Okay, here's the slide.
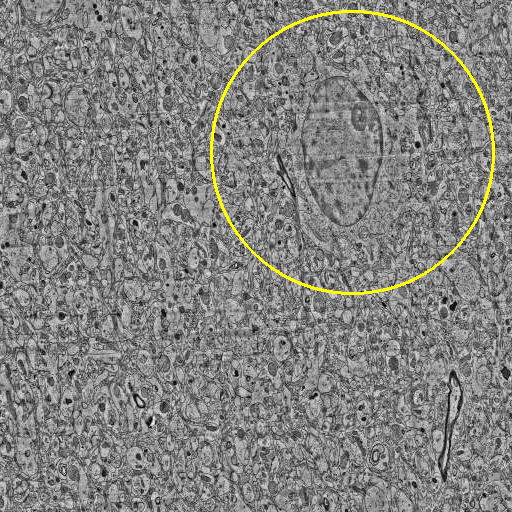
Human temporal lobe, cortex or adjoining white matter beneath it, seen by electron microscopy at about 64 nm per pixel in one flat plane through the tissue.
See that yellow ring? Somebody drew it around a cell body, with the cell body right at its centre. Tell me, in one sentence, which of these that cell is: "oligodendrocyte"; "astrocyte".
The cell in the middle of the ring is an astrocyte.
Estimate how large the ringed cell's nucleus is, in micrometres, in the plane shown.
Clearly longer than it is wide in this plane, the nucleus measures roughly 10 by 5 micrometres.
